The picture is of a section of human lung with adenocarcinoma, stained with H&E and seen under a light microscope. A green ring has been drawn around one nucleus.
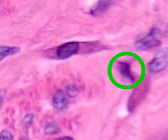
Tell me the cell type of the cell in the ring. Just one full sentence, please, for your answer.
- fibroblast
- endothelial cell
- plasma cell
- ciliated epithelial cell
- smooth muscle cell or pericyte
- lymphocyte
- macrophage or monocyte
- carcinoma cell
Within the stained tissue, the cell in the ring is a plasma cell.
